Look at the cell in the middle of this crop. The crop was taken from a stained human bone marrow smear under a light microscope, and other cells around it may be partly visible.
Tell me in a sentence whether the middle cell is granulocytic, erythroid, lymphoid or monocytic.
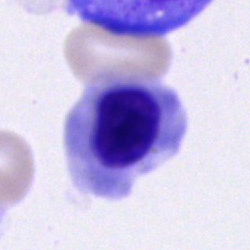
As for the cell in the middle, its lineage is erythroid.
